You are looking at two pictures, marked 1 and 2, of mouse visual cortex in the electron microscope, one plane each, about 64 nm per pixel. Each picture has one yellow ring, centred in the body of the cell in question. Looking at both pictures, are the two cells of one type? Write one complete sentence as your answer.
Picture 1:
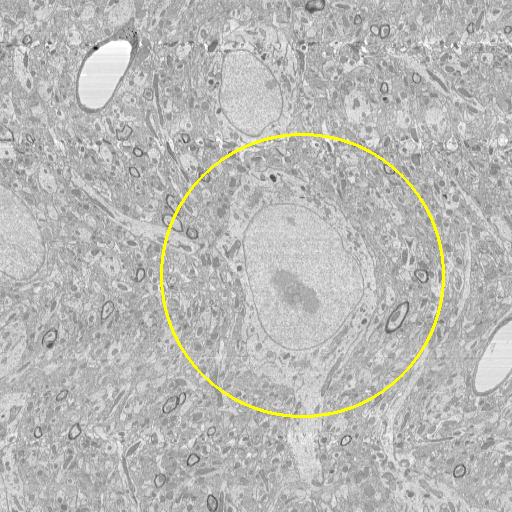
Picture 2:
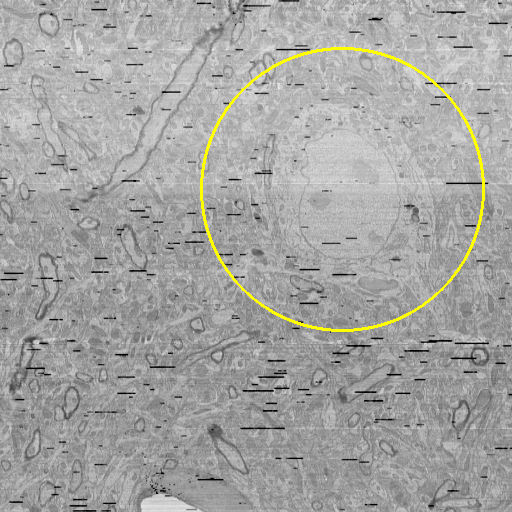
Yes, both cells are excitatory neurons.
